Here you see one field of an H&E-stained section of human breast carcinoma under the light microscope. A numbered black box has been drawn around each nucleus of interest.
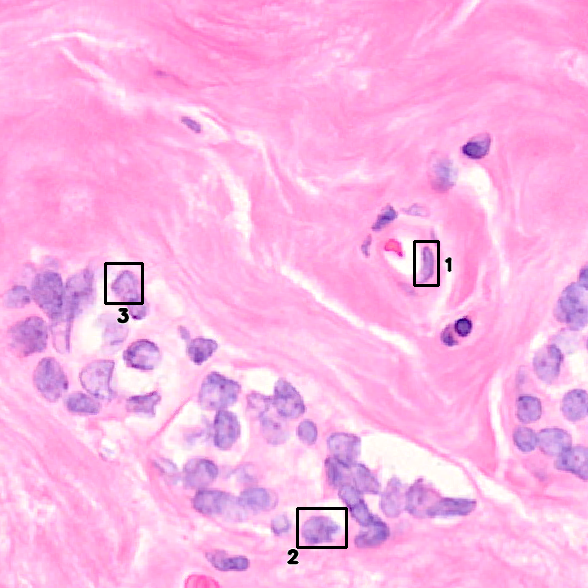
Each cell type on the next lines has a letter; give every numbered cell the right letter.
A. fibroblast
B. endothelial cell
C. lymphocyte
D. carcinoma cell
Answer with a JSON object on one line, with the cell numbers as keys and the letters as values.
{"1": "B", "2": "D", "3": "D"}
